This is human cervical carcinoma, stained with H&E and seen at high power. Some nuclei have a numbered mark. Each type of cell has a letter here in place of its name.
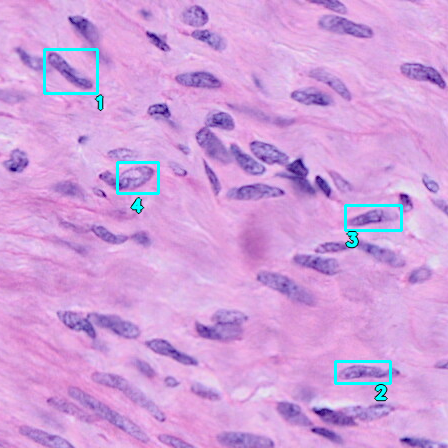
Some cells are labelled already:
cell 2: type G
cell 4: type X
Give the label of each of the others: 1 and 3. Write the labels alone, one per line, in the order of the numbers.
type G
type G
